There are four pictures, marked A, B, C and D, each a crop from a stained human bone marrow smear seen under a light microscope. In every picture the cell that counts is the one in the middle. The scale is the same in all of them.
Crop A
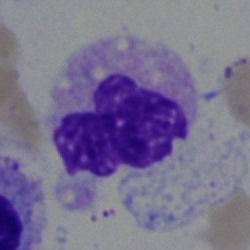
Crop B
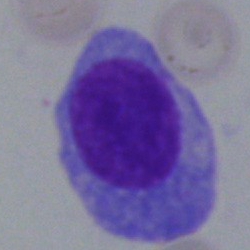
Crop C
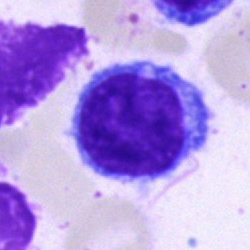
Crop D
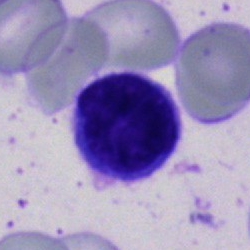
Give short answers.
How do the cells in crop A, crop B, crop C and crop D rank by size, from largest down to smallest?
B, A, C, D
